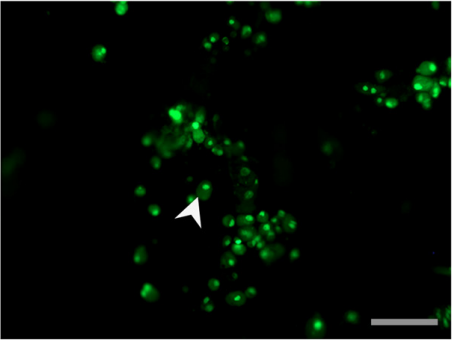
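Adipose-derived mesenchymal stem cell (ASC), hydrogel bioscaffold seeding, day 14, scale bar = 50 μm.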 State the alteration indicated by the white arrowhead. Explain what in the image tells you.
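The green cells are small and round, without processes. Cells gather in tight clusters with empty dark space between clusters. That points to this answer: clumped distribution with rounded cell morphology.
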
